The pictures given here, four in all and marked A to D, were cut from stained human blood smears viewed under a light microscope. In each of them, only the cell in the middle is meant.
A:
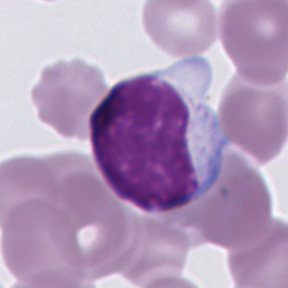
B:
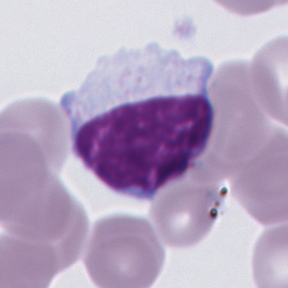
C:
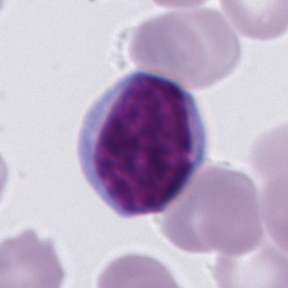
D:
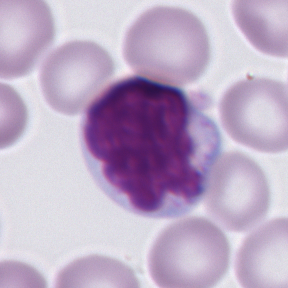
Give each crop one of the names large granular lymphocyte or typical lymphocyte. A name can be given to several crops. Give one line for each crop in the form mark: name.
A: large granular lymphocyte
B: large granular lymphocyte
C: typical lymphocyte
D: large granular lymphocyte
